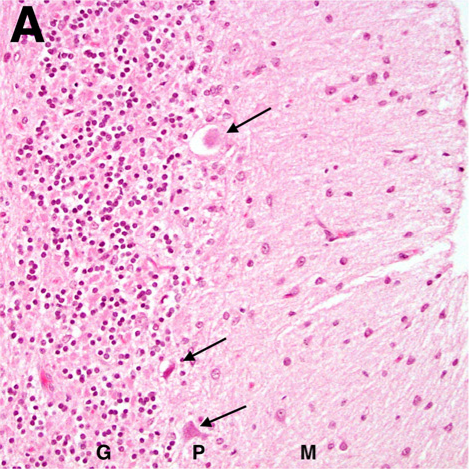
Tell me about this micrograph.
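This is cerebellar cortex with degenerate Purkinje neurons lying between the granular and molecular layers. These neurons are shrunken and angular, with deeply pink cytoplasm, and one sits within a clear space. The granular layer holds small round dark nuclei less tightly packed than normal, and the molecular layer is pale with scattered small nuclei.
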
